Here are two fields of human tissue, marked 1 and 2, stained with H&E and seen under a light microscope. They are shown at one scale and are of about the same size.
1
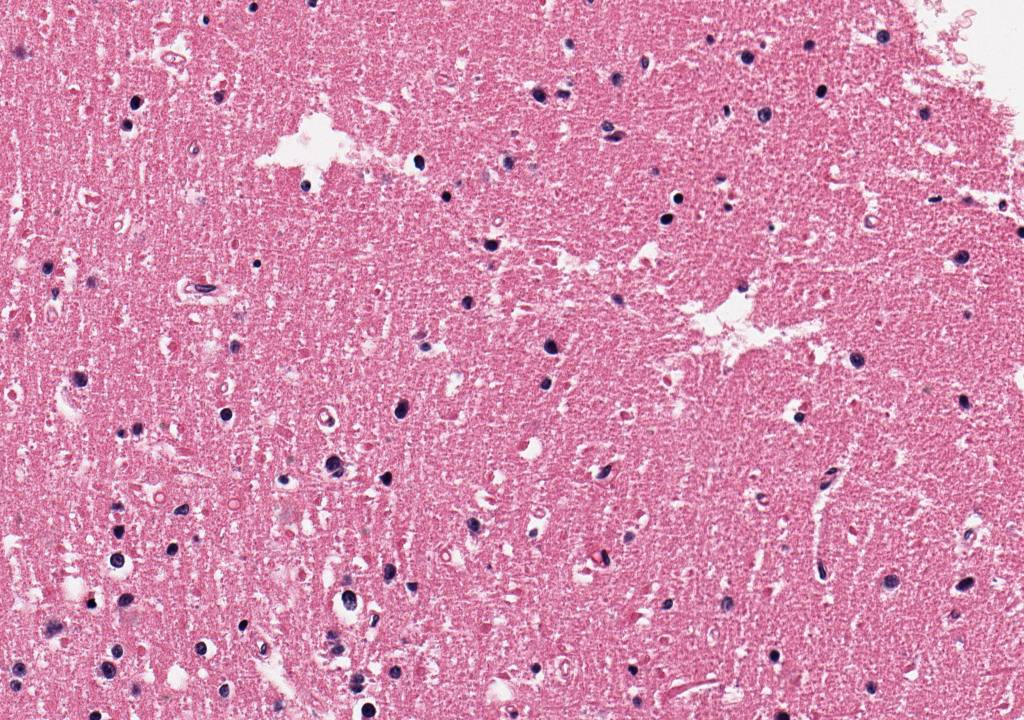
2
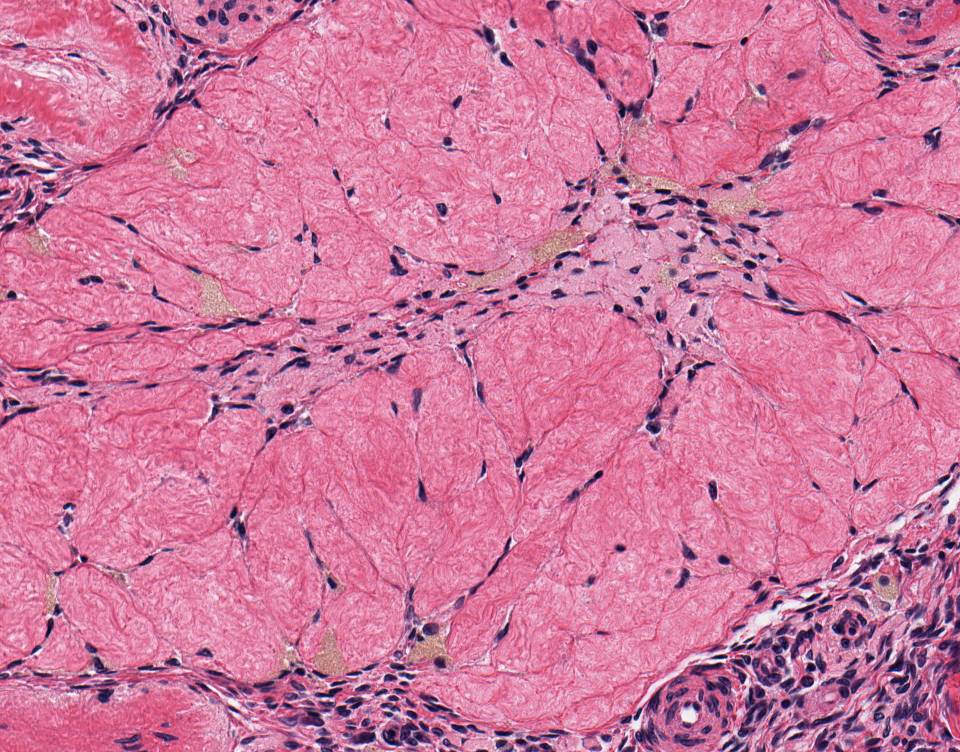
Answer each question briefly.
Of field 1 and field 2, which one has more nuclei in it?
2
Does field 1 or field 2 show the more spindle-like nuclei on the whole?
2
